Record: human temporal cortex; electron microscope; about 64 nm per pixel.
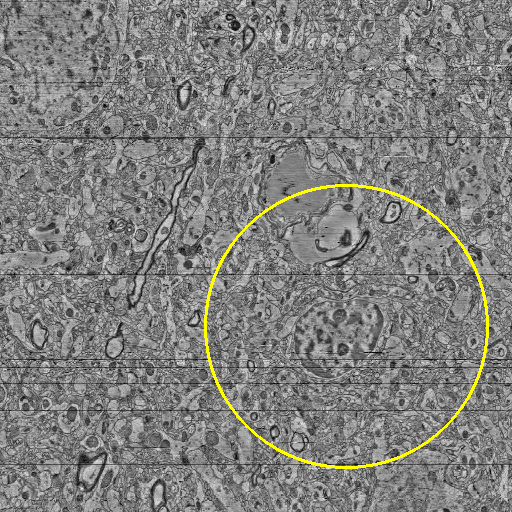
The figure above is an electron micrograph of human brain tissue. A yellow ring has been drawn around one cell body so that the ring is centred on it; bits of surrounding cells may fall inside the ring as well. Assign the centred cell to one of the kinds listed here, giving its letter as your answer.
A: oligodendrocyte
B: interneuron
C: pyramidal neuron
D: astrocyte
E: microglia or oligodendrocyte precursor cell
E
